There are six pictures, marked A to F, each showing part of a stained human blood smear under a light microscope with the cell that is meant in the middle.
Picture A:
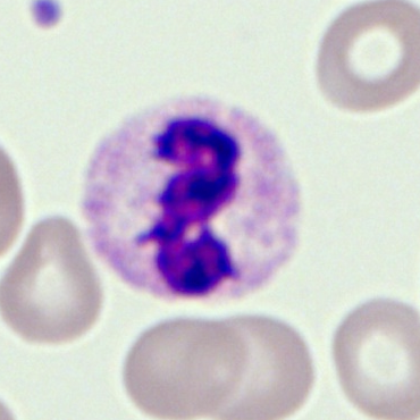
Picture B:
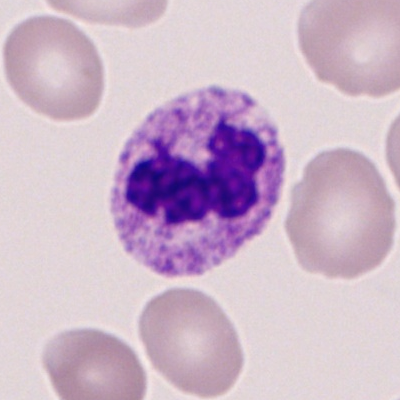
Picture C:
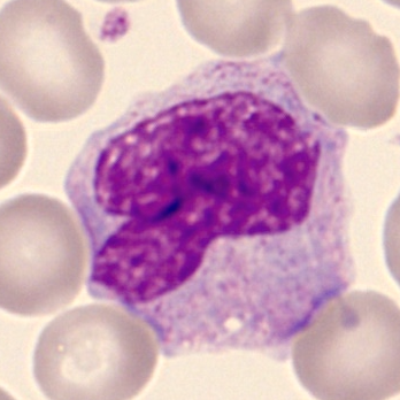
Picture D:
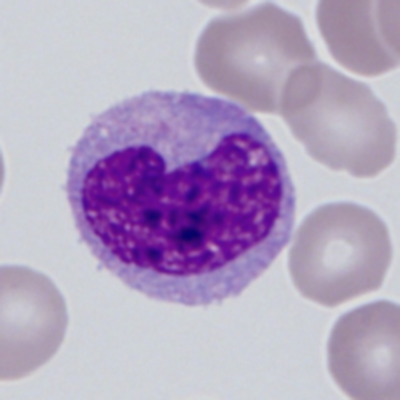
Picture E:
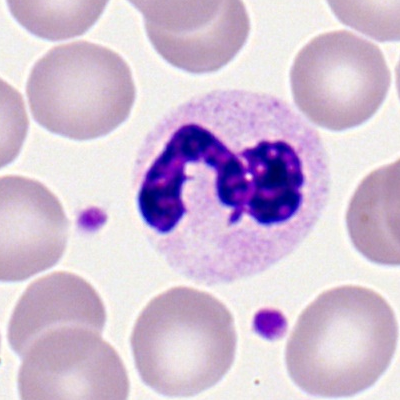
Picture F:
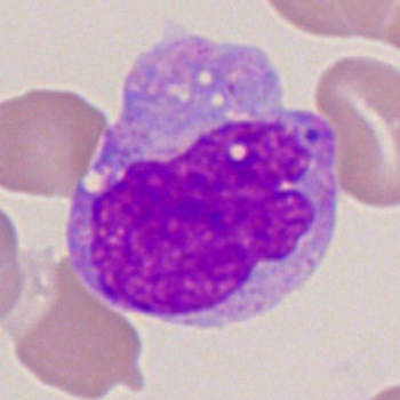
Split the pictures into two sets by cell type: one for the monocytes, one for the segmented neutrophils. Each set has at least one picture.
A: segmented neutrophil
B: segmented neutrophil
C: monocyte
D: monocyte
E: segmented neutrophil
F: monocyte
